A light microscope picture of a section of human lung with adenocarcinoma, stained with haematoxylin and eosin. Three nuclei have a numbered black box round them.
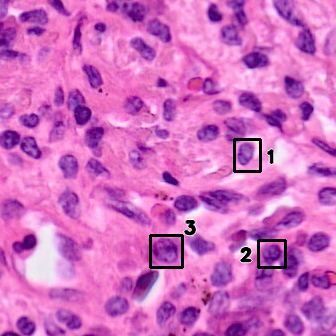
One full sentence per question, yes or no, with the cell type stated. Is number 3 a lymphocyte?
No, the right label for cell 3 is a plasma cell rather than a lymphocyte.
